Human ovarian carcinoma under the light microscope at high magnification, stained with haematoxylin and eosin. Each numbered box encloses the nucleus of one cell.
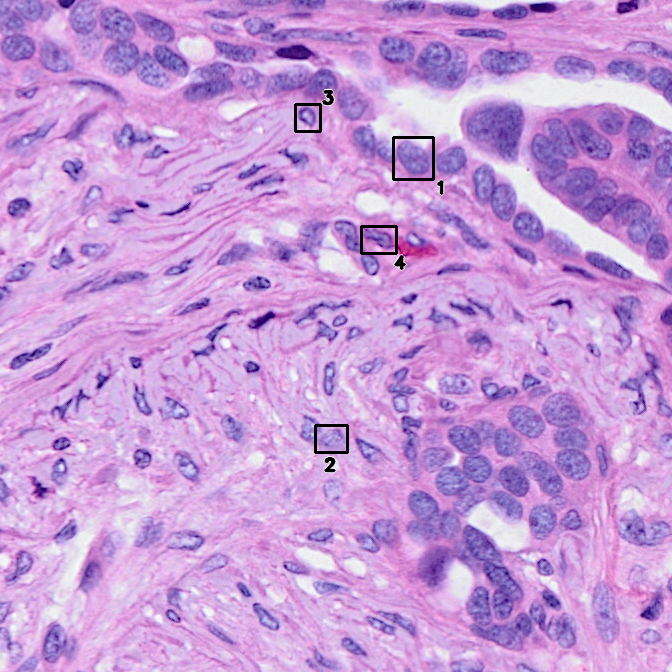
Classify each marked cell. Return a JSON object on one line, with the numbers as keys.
{"1": "carcinoma cell", "2": "fibroblast", "3": "macrophage or monocyte", "4": "endothelial cell"}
